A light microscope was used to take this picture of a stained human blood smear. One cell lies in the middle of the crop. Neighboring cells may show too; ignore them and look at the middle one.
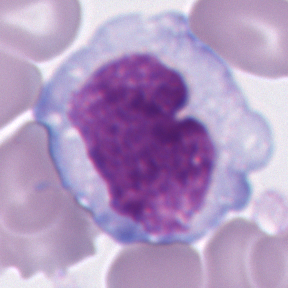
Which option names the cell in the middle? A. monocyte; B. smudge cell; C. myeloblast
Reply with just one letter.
A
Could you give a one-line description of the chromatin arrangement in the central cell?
The nuclear chromatin is fine, showing no coarse aggregates.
